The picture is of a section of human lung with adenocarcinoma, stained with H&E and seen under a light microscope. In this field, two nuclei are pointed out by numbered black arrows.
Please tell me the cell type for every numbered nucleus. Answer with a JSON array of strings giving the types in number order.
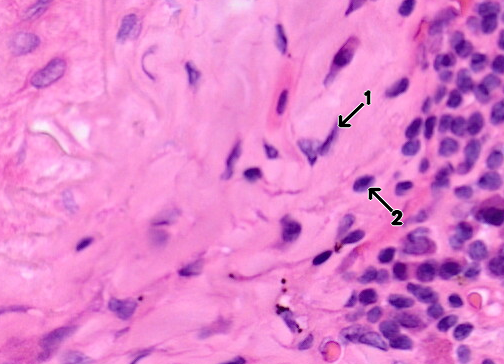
["fibroblast", "lymphocyte"]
